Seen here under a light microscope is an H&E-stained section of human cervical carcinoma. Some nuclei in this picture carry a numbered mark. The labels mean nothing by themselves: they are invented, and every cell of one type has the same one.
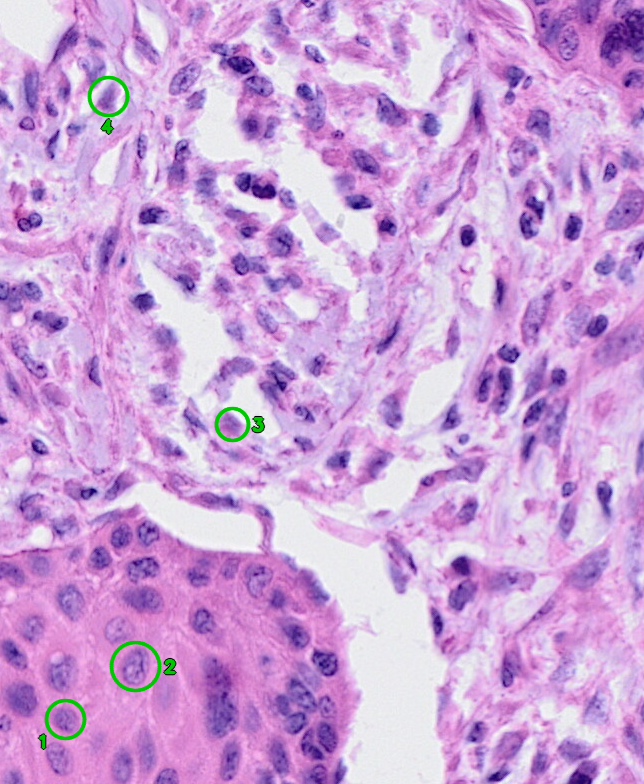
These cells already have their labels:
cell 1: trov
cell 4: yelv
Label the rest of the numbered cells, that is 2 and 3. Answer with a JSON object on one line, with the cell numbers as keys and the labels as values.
{"2": "trov", "3": "yelv"}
